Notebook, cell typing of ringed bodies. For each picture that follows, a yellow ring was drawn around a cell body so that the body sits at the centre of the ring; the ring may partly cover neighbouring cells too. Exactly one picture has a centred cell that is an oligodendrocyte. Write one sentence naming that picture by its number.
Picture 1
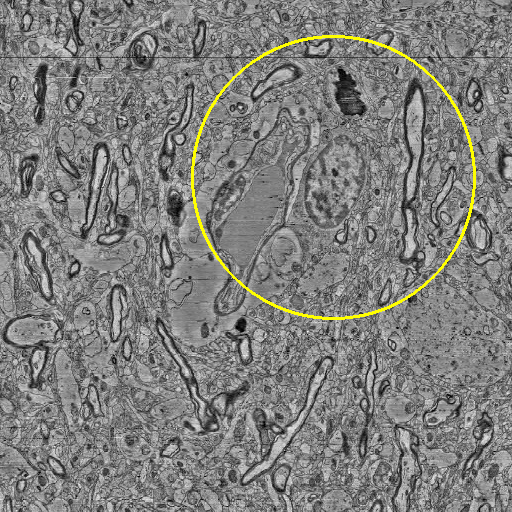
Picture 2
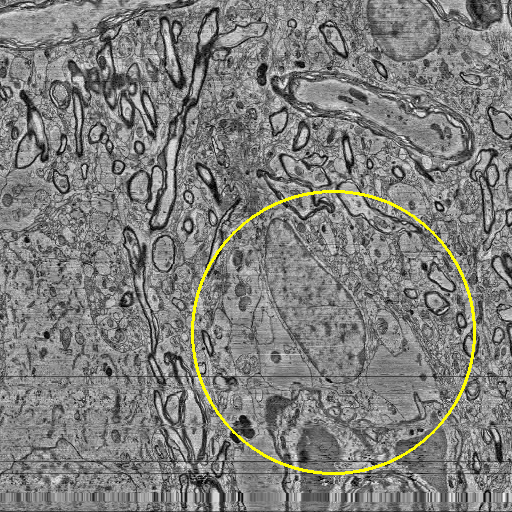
Picture 1 is the one with it at the centre of its ring.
